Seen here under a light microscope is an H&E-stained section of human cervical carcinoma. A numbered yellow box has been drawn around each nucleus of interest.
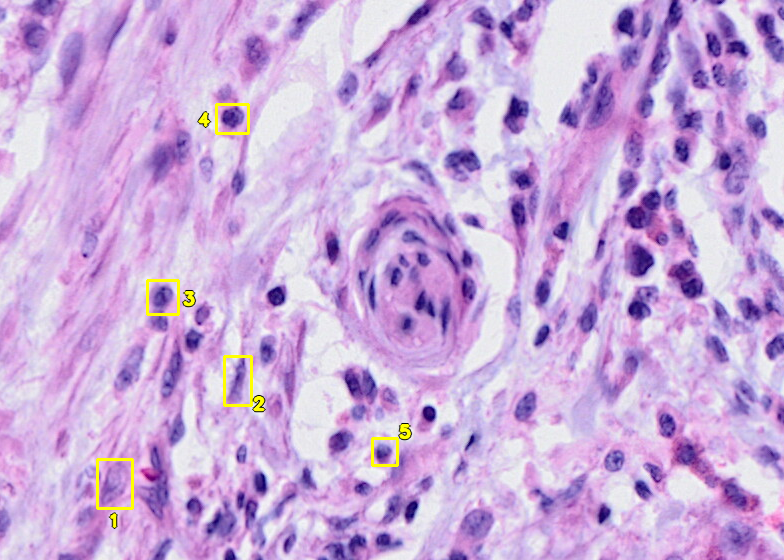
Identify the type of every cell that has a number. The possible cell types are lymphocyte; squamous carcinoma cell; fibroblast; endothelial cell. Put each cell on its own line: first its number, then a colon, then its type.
1: endothelial cell
2: fibroblast
3: lymphocyte
4: lymphocyte
5: lymphocyte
